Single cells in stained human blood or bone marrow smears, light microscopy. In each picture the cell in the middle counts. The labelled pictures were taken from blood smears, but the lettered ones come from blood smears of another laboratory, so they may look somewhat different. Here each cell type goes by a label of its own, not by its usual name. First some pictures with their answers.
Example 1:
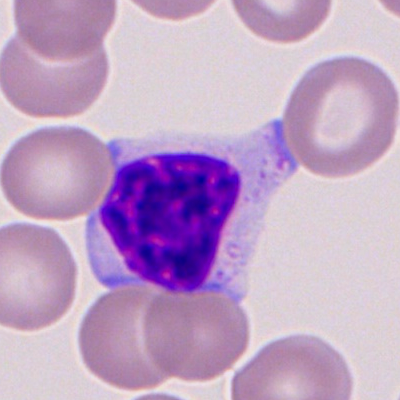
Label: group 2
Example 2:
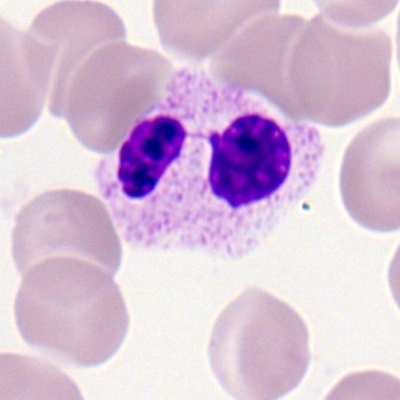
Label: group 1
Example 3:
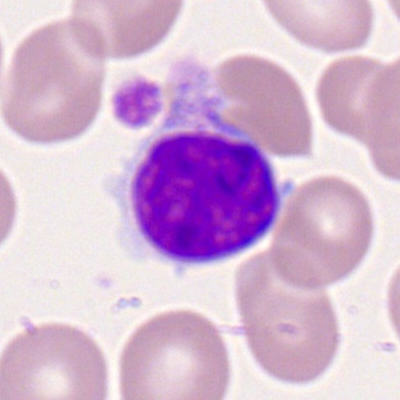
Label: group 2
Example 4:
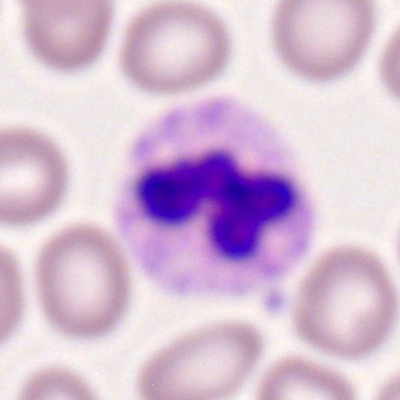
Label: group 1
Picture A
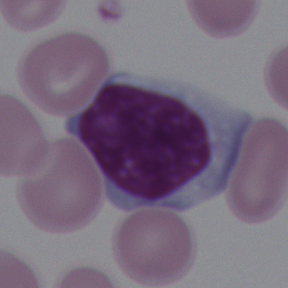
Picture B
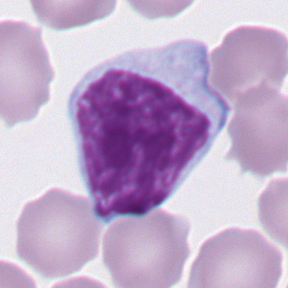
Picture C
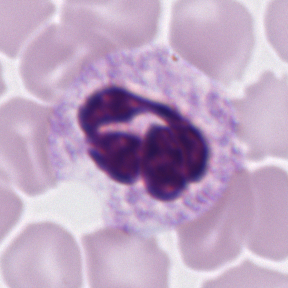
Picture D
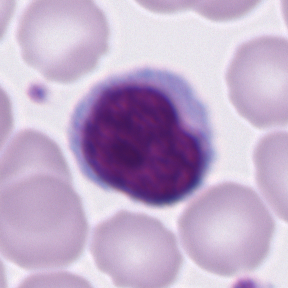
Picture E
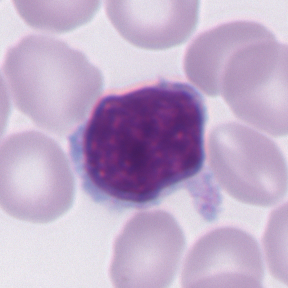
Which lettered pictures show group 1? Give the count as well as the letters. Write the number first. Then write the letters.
1: C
